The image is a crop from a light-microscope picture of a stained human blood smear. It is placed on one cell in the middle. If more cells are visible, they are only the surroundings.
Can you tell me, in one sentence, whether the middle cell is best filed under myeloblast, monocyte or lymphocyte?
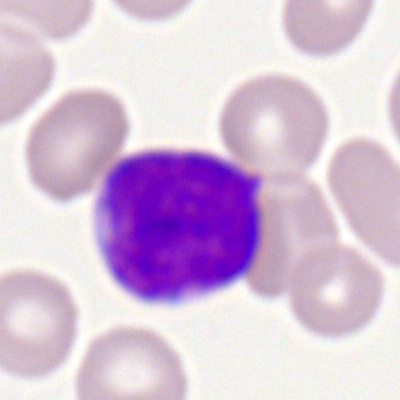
In short, the cell at the center is a myeloblast.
